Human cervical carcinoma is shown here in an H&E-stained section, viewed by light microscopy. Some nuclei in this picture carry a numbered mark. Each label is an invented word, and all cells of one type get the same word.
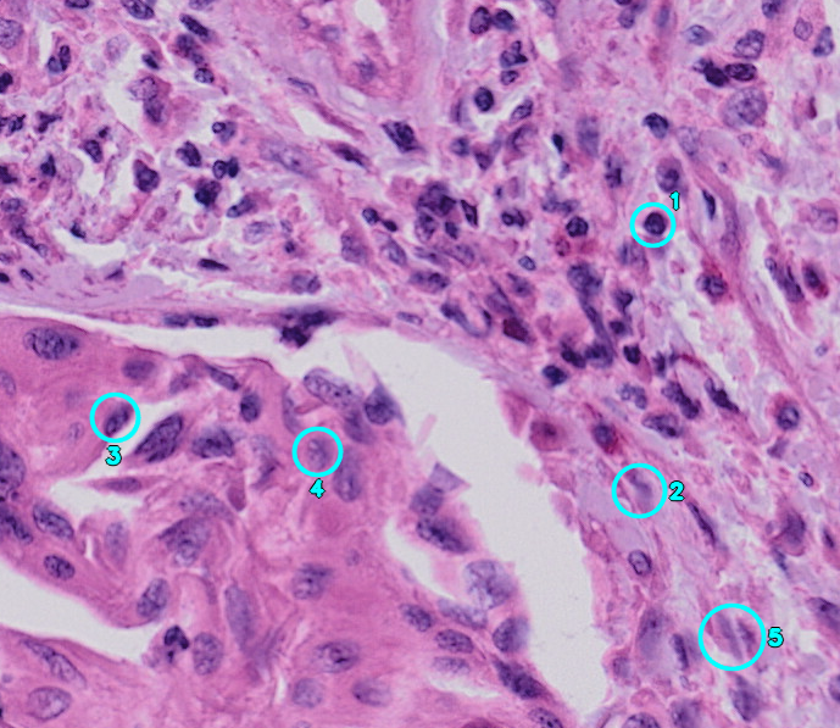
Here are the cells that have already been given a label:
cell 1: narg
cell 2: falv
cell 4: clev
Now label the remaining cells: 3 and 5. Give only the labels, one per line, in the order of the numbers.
clev
falv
